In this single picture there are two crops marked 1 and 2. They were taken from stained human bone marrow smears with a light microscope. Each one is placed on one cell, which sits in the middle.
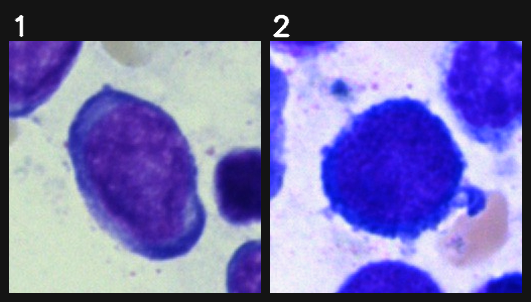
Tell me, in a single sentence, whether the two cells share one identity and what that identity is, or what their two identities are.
Yes, both crops contain proerythroblasts at their centres.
